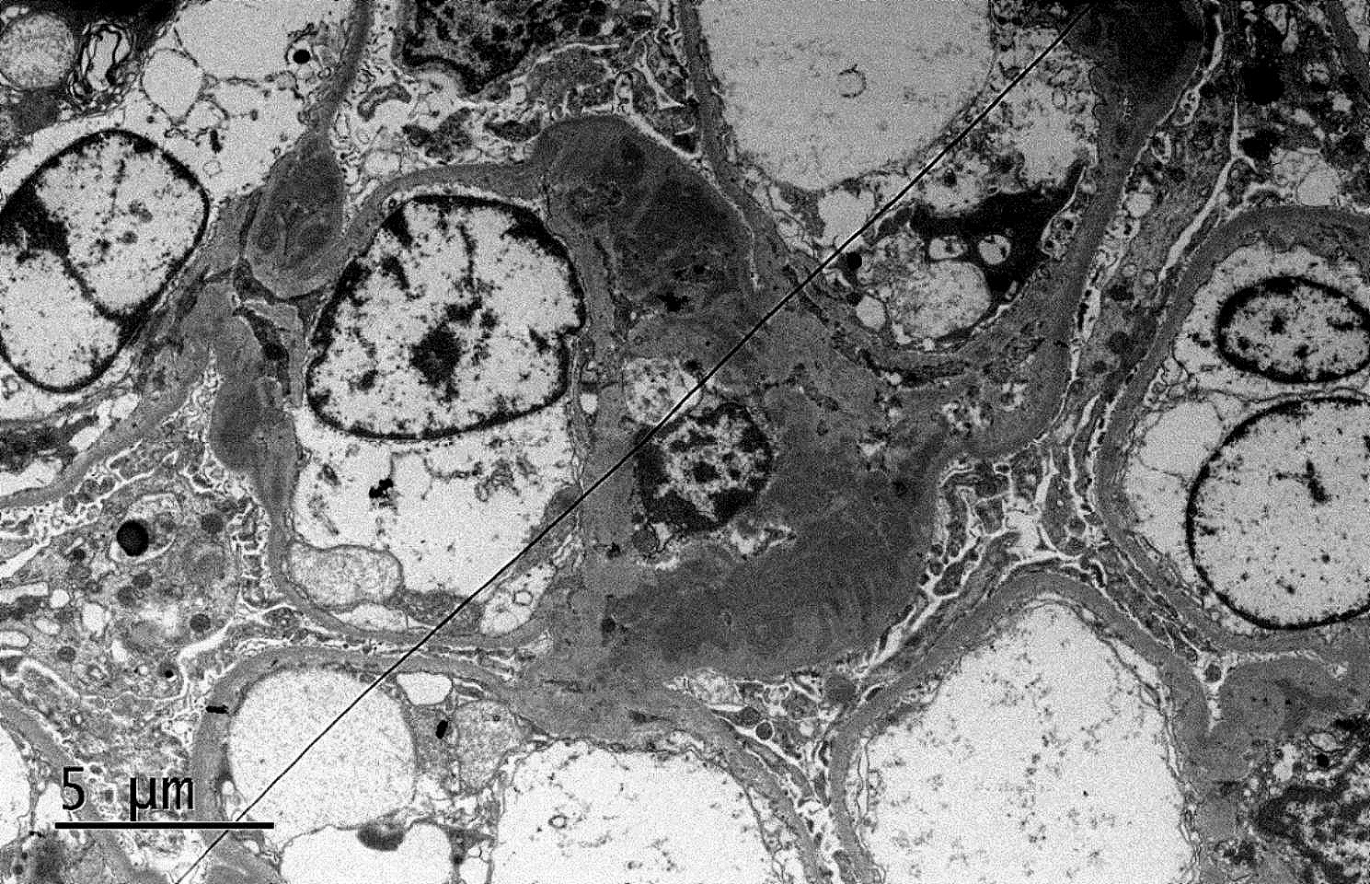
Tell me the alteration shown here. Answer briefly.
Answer: Electron-dense material in the mesangial region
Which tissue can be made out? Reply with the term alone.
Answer: Glomerulus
